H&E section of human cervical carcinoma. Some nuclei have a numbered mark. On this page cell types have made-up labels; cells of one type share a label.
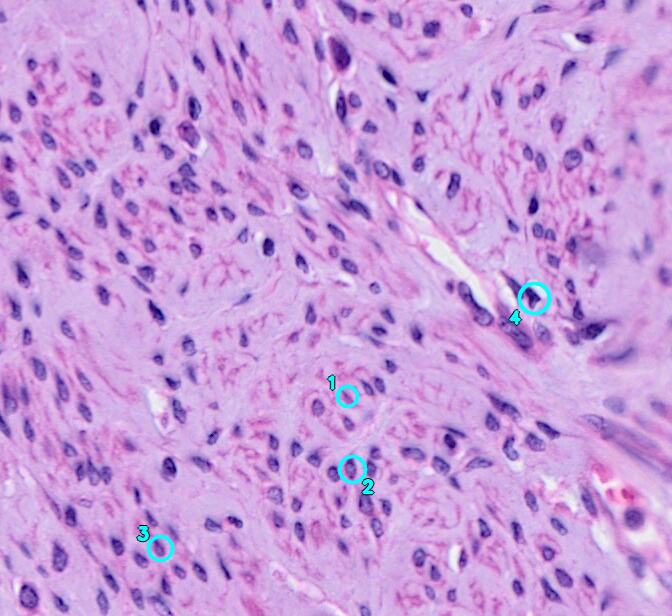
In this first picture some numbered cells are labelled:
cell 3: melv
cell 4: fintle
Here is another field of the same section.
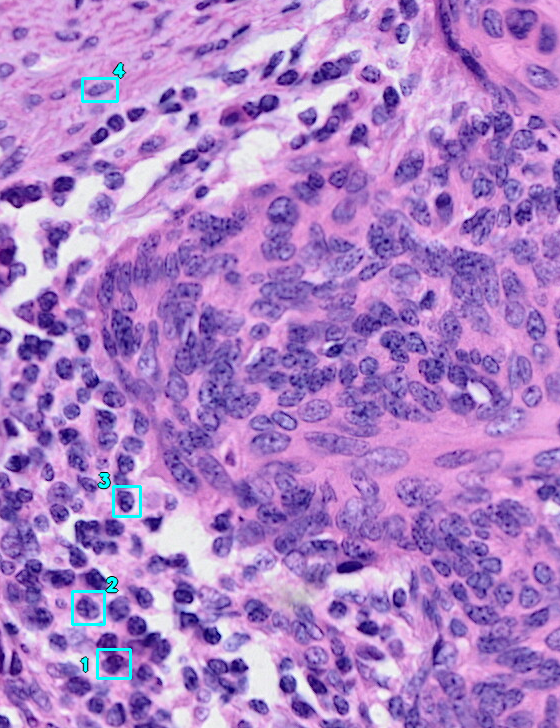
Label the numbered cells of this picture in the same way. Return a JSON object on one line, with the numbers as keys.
{"1": "fintle", "2": "fintle", "3": "fintle", "4": "melv"}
